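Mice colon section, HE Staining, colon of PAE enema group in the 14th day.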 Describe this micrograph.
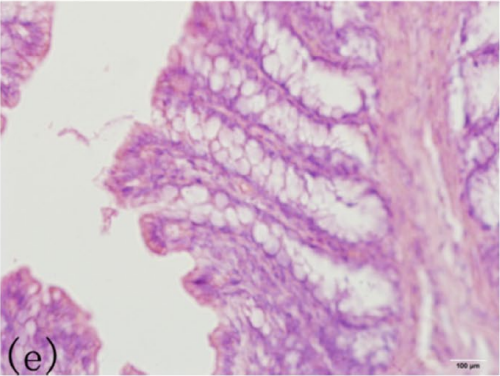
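The glands are lined by columns of cells, many of them holding pale, clear, rounded vacuoles stacked one above another. Purple nuclei sit in a row at the bases of these cells, along the outer edges of the glands. At the right a band of smooth pink tissue runs alongside the glands, and the open space on the left is the lumen of the gut. The glands keep a regular, parallel arrangement with a continuous surface.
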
